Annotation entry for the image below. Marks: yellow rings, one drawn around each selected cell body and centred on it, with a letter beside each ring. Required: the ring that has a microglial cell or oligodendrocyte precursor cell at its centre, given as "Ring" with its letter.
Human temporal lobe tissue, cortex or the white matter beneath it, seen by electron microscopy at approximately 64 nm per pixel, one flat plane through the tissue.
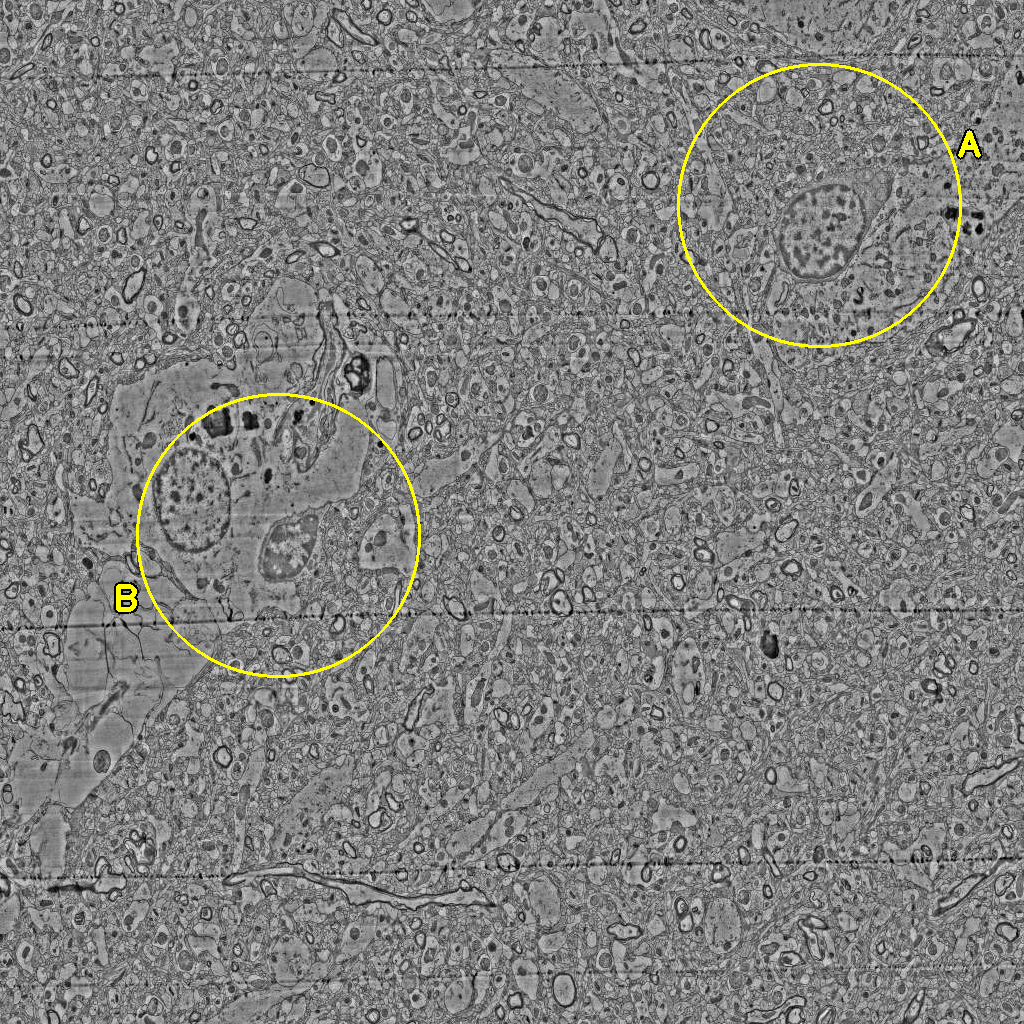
Ring B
